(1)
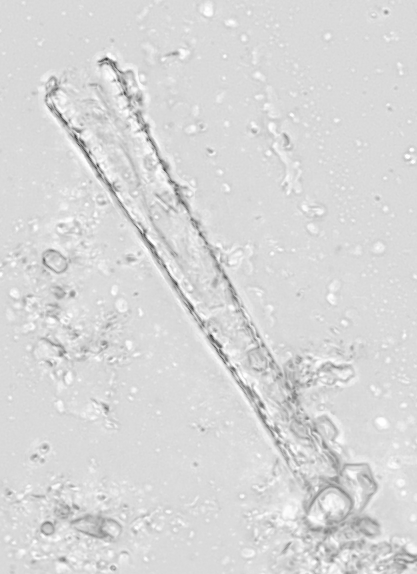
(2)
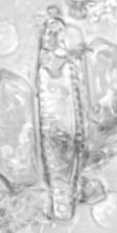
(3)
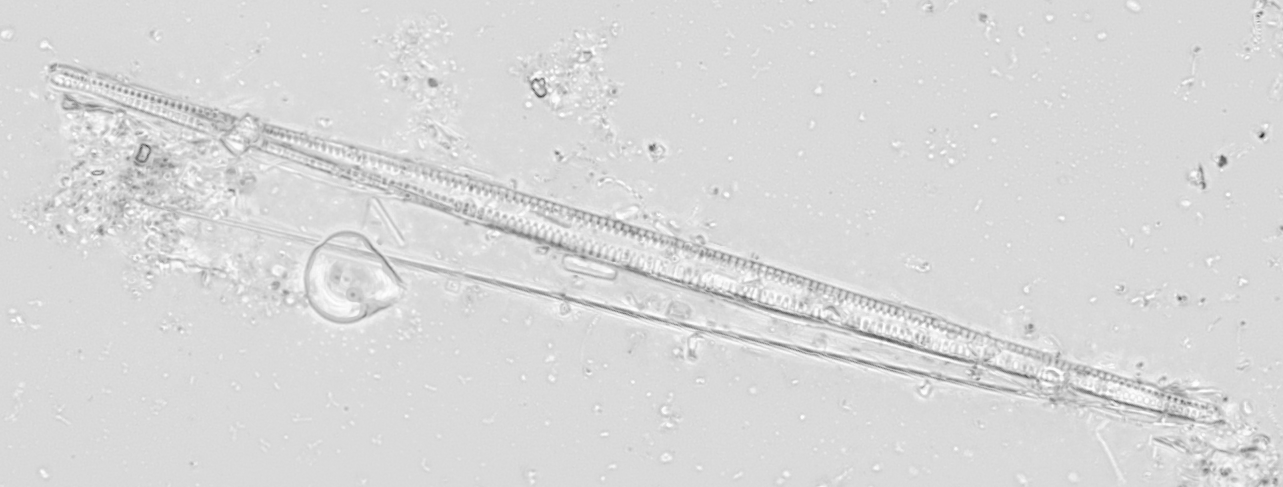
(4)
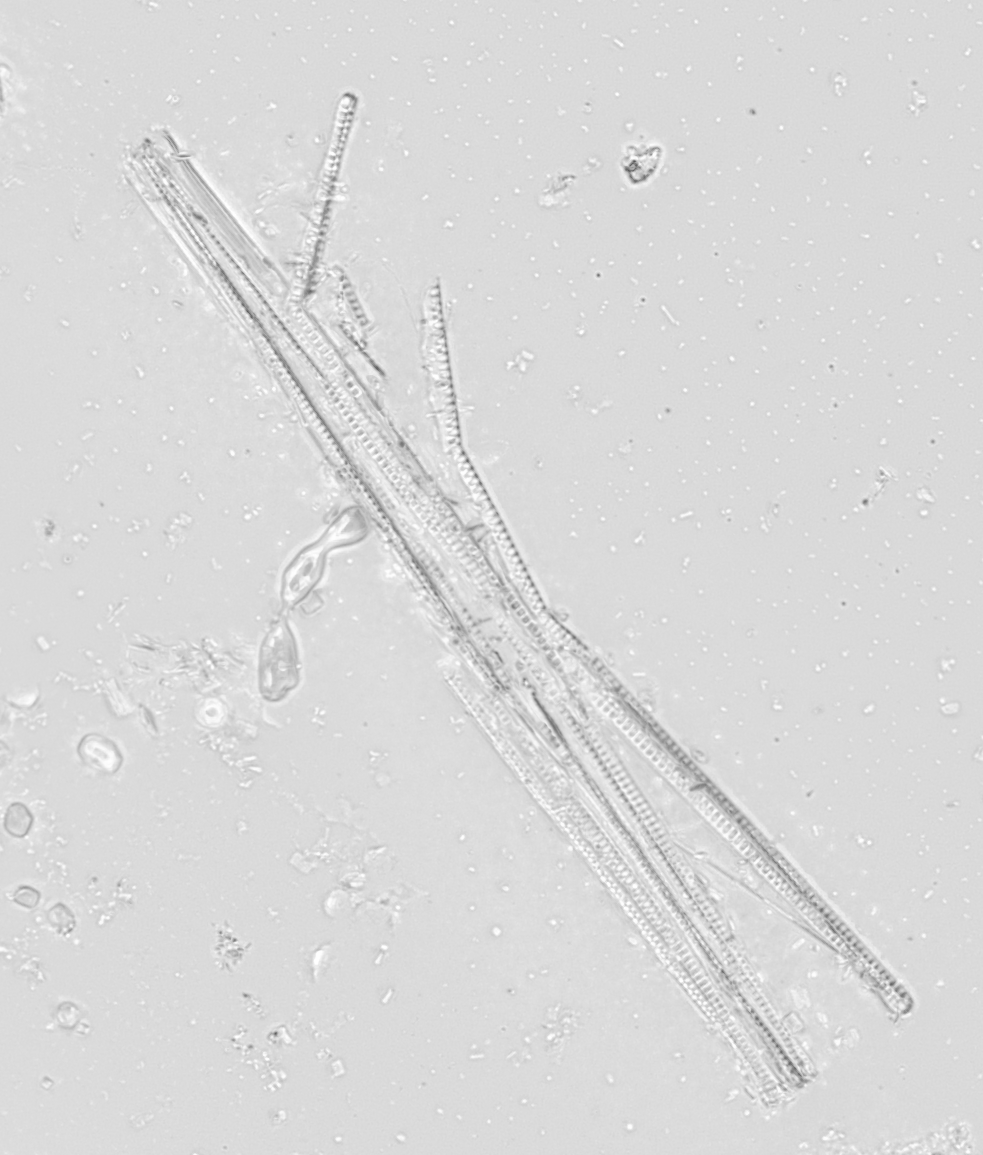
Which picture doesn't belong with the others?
Picture 1.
